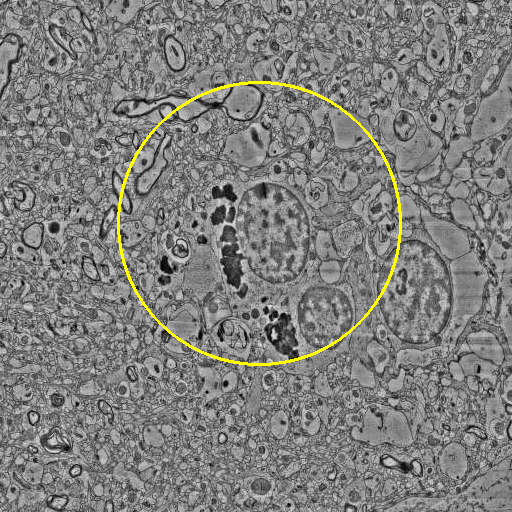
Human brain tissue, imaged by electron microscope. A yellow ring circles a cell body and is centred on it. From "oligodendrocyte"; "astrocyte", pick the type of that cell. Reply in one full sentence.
The cell body at the centre of the yellow ring belongs to an oligodendrocyte.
